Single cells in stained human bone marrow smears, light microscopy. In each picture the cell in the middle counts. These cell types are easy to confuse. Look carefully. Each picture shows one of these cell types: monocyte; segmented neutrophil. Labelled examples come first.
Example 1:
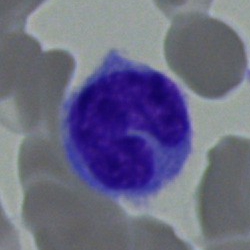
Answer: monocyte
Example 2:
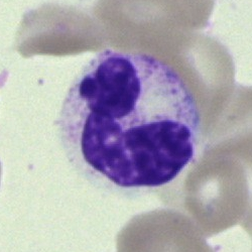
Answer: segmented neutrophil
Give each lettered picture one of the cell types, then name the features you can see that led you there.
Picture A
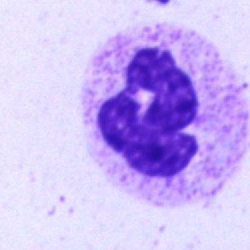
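Answer: segmented neutrophil. Fine pink-purple granules are scattered throughout the cytoplasm.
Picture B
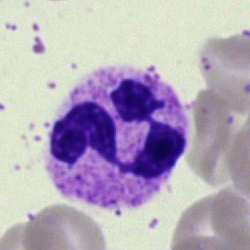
Answer: segmented neutrophil. The cytoplasm is plentiful and pale pinkish-lilac.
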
